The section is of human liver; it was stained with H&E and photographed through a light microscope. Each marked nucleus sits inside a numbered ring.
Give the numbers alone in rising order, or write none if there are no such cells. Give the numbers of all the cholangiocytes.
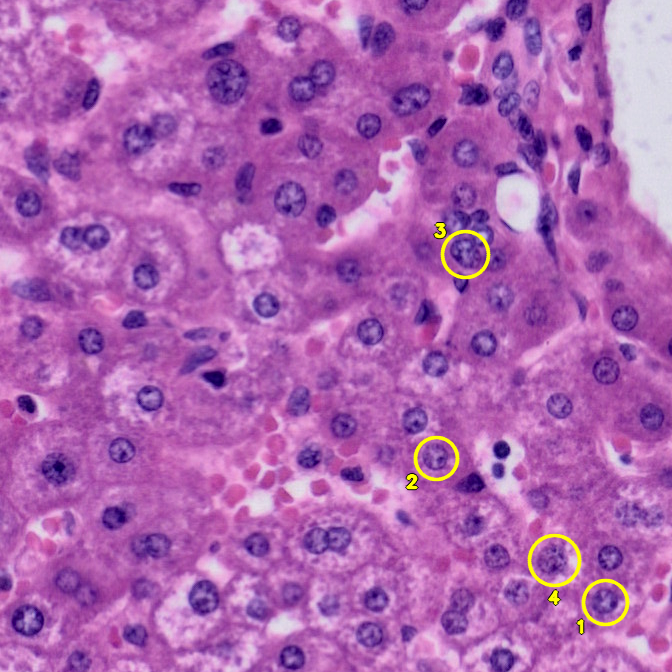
3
